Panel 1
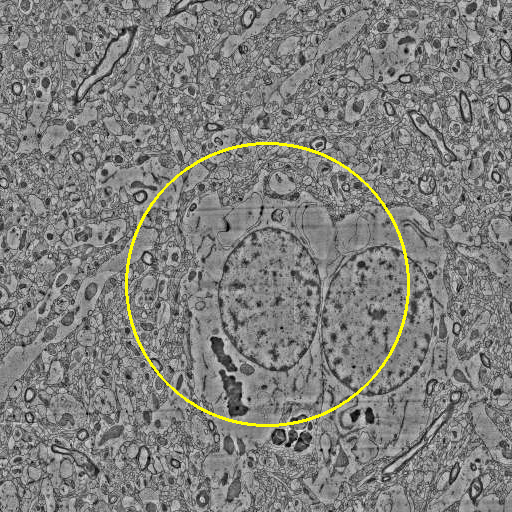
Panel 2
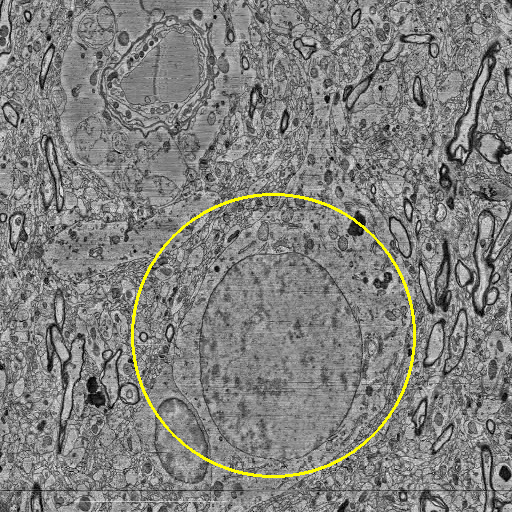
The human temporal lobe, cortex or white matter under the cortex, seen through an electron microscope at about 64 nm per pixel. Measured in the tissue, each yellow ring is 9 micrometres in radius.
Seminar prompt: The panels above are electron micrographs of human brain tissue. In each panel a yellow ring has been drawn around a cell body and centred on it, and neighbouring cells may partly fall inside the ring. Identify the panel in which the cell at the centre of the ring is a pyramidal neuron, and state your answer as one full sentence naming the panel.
Panel 2 has it at the centre of its ring.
